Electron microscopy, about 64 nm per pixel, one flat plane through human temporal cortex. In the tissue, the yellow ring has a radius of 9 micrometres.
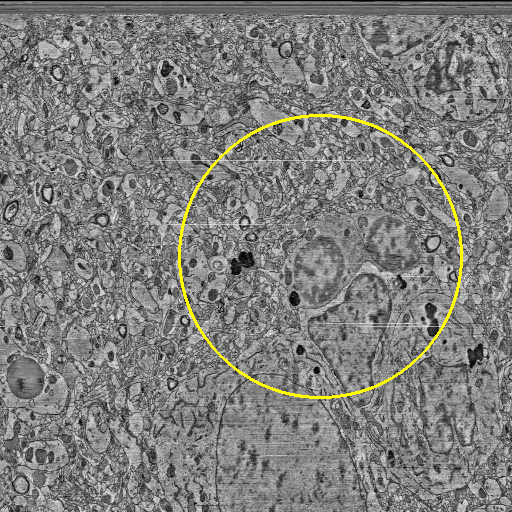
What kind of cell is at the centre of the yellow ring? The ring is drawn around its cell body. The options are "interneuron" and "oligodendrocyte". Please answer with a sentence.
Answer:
The yellow ring marks the cell body of an oligodendrocyte.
